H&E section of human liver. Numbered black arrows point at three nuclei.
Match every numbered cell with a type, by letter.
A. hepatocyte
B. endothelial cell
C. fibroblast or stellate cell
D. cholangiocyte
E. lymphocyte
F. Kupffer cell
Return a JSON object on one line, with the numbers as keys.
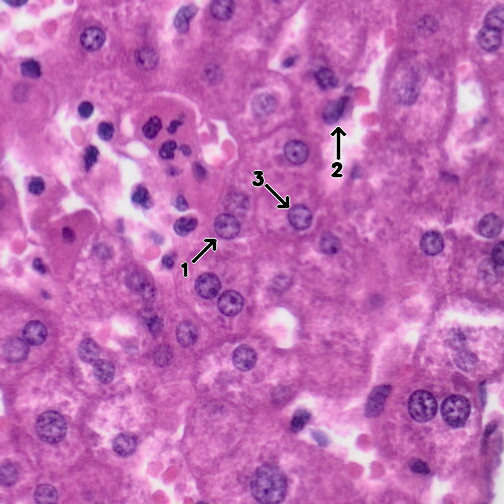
{"1": "A", "2": "F", "3": "A"}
